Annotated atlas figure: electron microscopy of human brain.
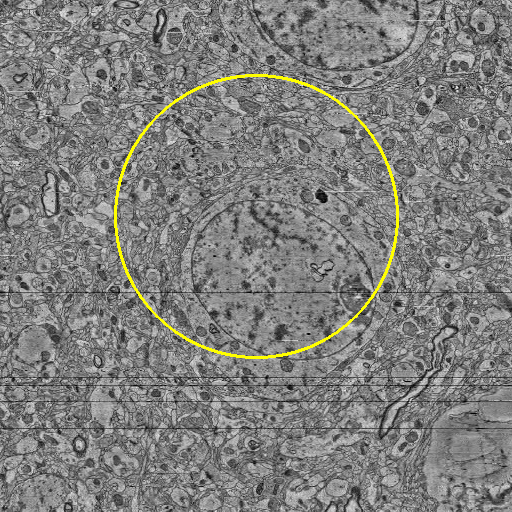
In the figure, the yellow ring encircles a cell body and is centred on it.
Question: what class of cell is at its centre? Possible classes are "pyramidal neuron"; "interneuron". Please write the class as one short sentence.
The yellow ring is drawn around a pyramidal neuron.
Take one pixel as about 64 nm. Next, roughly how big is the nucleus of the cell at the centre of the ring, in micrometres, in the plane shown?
The nucleus works out at approximately 12 by 10 micrometres in this plane.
